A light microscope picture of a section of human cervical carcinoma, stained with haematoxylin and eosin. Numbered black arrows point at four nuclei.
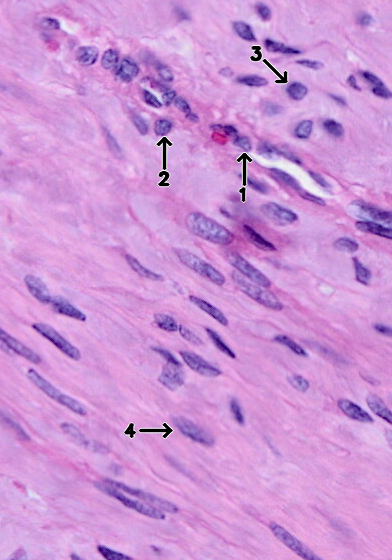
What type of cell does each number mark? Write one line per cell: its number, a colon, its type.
1: endothelial cell
2: smooth muscle cell
3: fibroblast
4: fibroblast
